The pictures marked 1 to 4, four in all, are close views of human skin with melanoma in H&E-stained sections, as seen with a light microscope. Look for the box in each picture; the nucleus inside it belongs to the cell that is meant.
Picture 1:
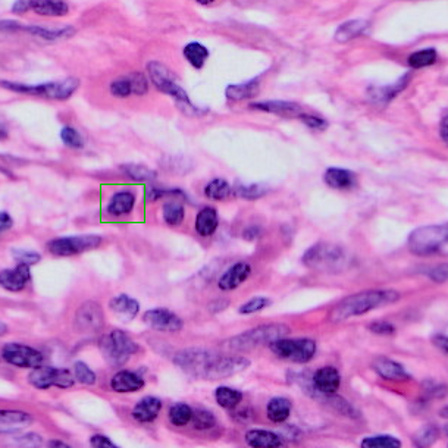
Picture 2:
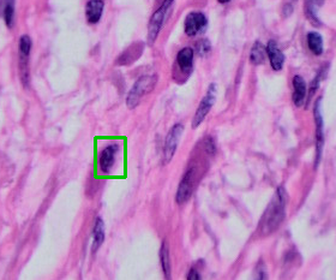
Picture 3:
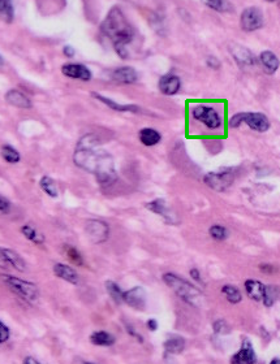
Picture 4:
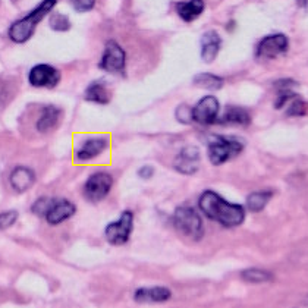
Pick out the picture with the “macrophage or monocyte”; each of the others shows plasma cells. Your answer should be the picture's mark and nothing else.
4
